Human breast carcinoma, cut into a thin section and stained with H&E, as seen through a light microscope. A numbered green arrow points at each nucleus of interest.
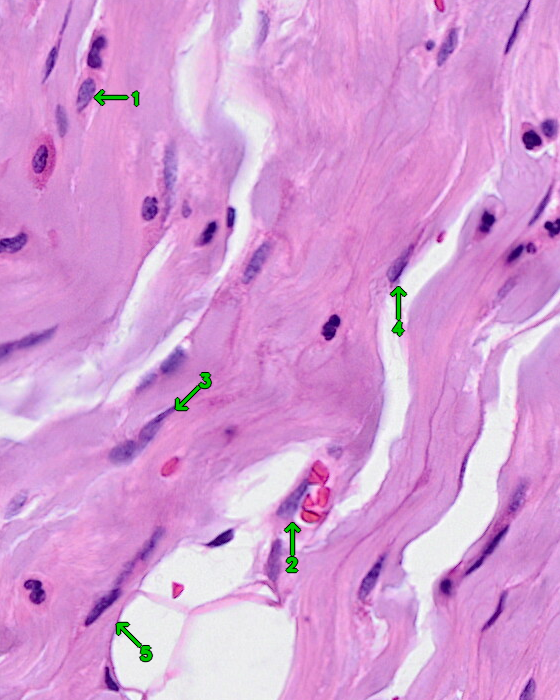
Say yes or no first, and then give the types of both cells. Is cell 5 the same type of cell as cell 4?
Yes, that is correct, cells 5 and 4 are both fibroblasts.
